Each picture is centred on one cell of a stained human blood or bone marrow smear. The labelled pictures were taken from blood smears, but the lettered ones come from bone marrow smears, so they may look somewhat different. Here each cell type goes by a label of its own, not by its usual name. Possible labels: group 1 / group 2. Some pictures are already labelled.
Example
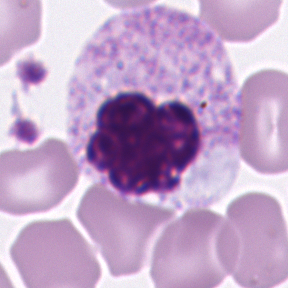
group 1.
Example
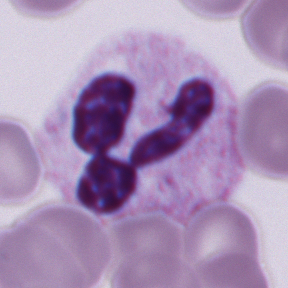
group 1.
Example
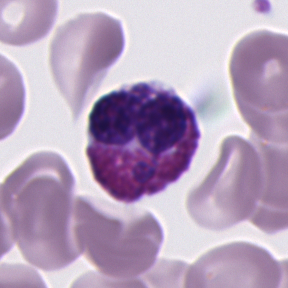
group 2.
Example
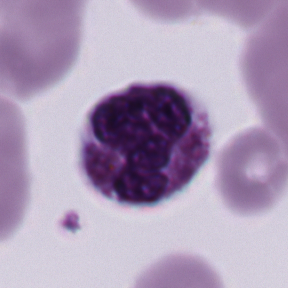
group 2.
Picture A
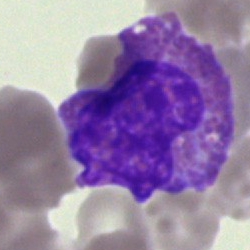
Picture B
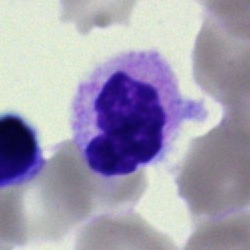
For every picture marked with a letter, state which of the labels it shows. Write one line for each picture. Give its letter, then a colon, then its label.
A: group 2.
B: group 1.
